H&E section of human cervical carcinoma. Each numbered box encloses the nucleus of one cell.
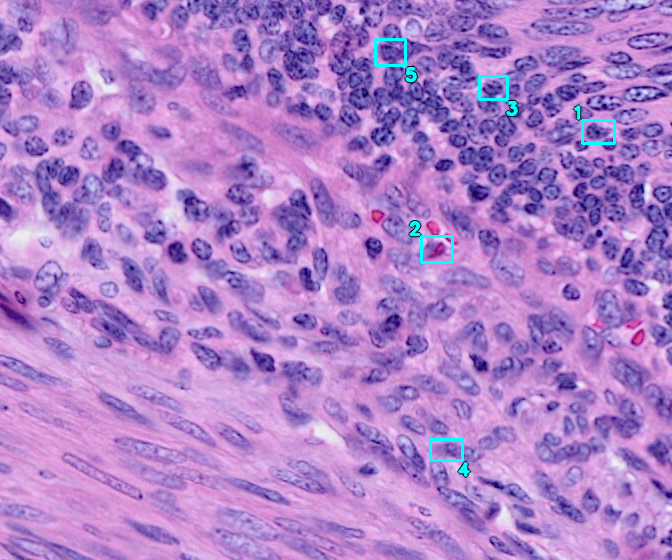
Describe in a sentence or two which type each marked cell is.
Cells 1, 3 and 5 are squamous carcinoma cells. Cell 2 is an endothelial cell. Cell 4 is a smooth muscle cell.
